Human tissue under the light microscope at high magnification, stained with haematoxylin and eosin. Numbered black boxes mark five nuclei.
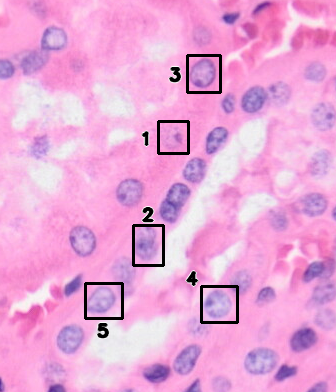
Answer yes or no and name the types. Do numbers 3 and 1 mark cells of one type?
Yes, it is true that cells 3 and 1 are both proximal tubule cells.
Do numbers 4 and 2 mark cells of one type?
Yes, both cells 4 and 2 are collecting duct cells.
